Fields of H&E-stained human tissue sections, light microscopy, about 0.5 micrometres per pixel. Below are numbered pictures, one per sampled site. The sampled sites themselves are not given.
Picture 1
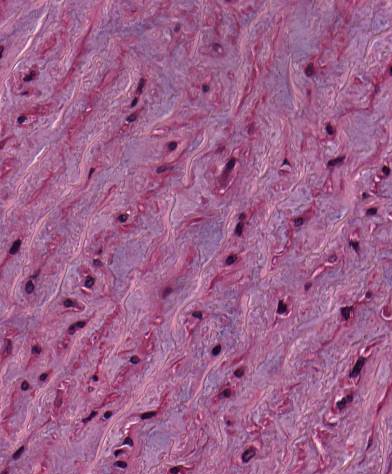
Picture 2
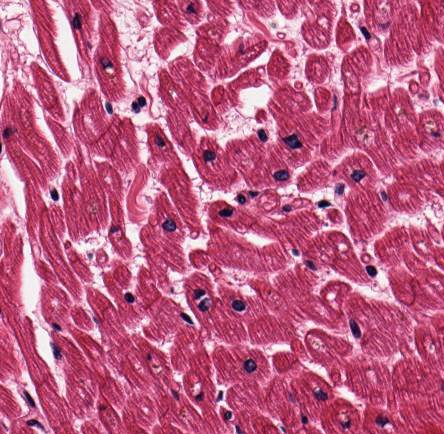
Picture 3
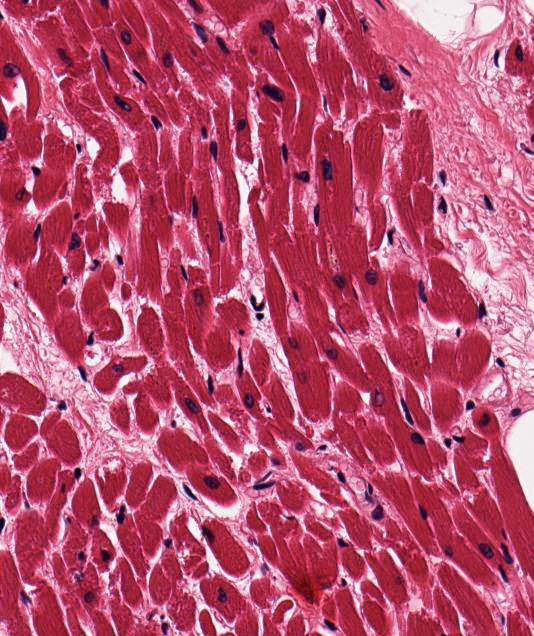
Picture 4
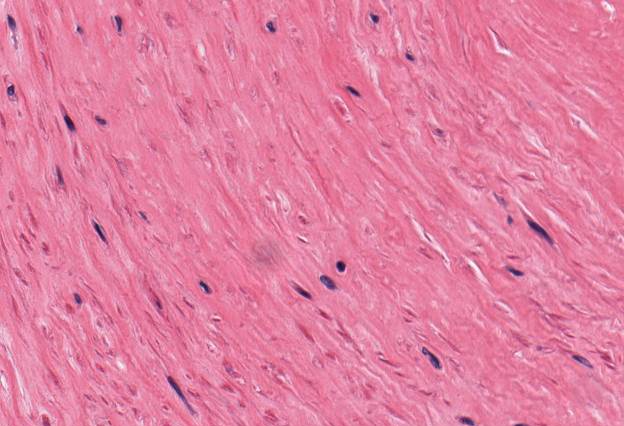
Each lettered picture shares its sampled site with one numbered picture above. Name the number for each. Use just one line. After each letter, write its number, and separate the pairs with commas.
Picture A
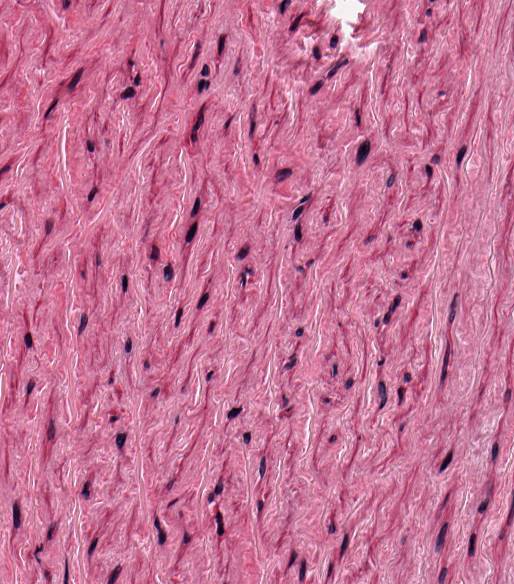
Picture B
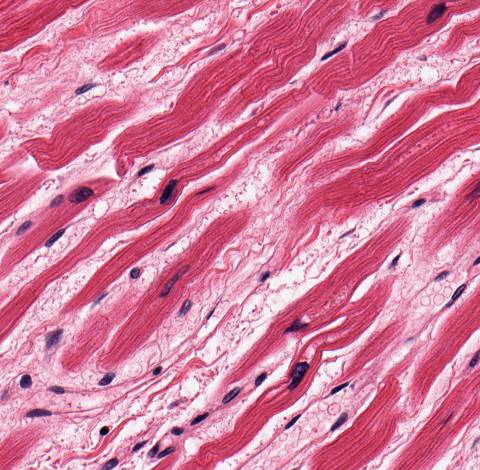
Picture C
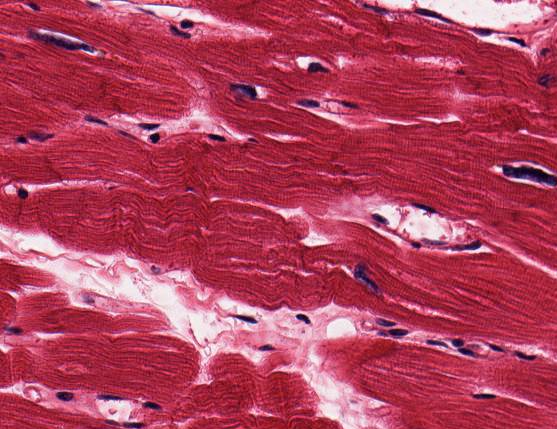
A 1, B 2, C 3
